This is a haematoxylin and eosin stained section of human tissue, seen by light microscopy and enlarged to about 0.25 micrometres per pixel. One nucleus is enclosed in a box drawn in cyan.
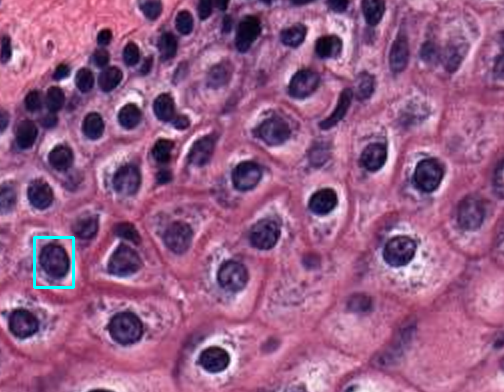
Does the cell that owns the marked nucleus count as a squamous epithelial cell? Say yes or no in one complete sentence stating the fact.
Yes, the marked nucleus is contained in a squamous epithelial cell.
